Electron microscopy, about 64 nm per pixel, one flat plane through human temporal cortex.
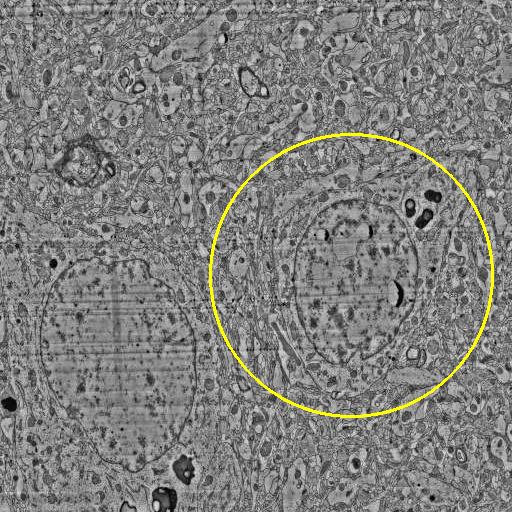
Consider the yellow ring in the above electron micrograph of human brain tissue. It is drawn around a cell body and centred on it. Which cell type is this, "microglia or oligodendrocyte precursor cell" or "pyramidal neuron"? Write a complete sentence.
The cell in question is a pyramidal neuron.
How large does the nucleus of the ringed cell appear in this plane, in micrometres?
About 11 by 8 micrometers for the nucleus, in this plane.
